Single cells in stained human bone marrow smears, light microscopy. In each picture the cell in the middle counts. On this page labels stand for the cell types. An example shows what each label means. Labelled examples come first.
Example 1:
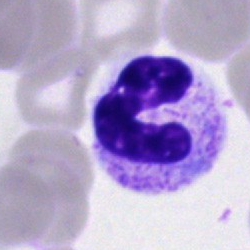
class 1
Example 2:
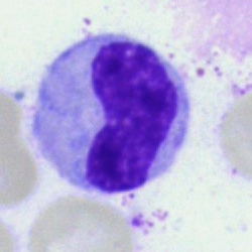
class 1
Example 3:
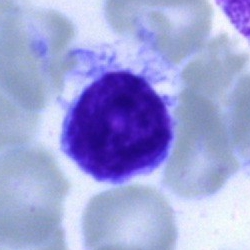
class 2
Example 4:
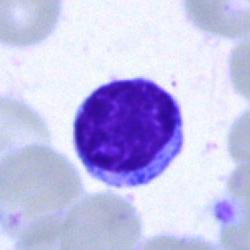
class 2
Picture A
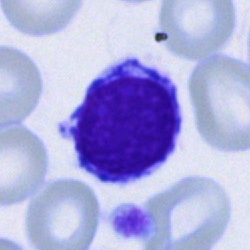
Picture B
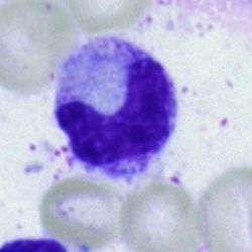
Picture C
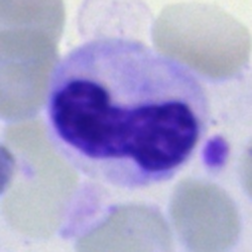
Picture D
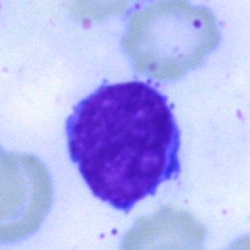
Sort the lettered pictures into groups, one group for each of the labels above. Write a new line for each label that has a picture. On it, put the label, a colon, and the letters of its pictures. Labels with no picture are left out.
class 1: B, C
class 2: A, D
